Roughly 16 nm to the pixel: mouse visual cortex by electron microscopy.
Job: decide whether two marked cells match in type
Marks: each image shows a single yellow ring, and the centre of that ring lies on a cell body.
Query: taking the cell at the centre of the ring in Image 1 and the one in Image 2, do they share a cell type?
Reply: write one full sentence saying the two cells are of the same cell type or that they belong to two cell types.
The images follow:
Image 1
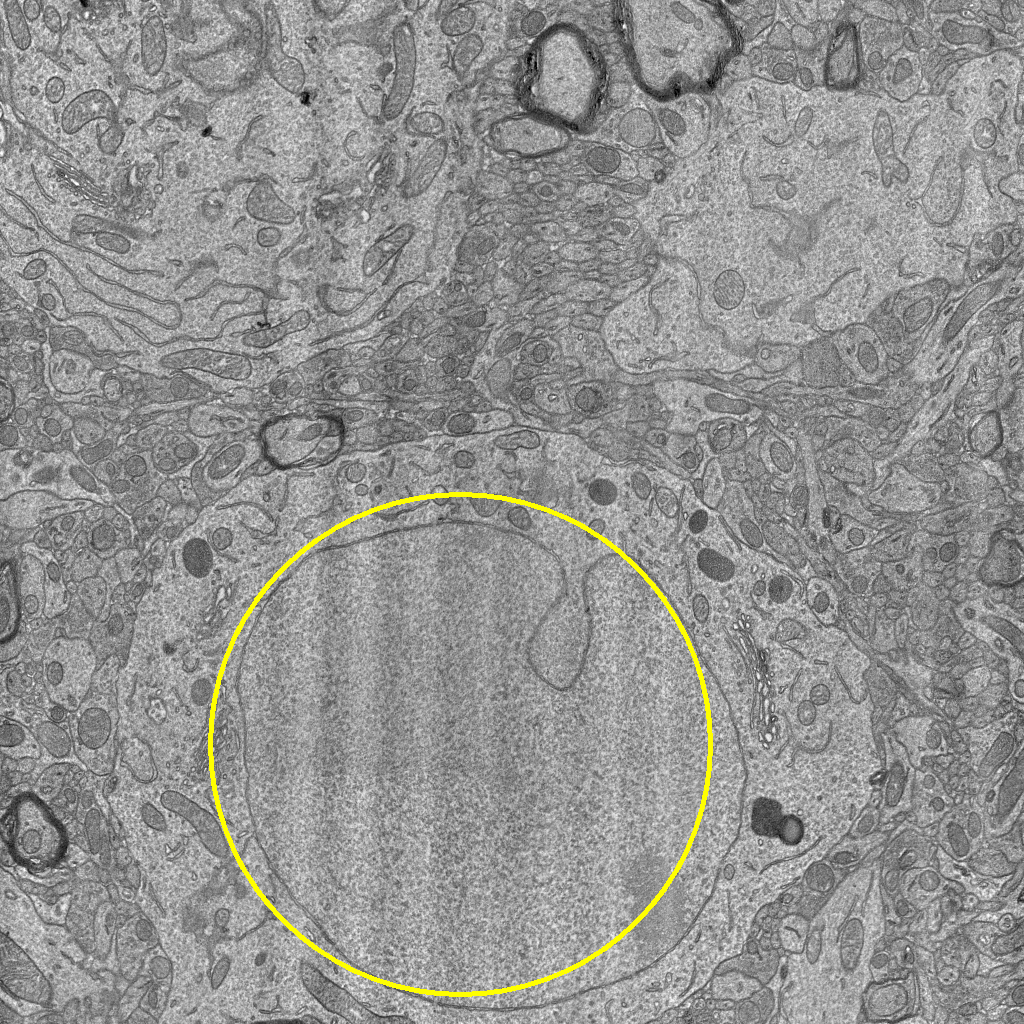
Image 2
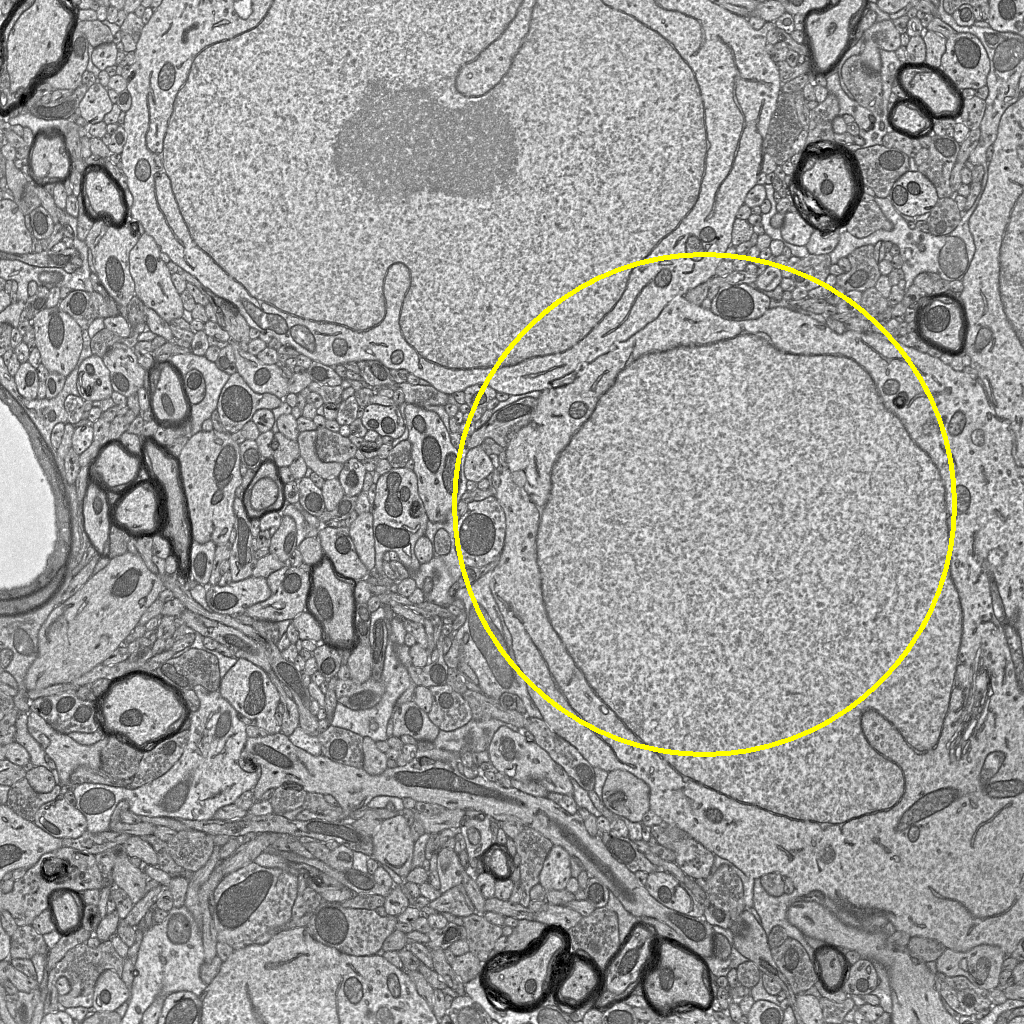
The cells at the ring centres in Image 1 and Image 2 are of the same cell type.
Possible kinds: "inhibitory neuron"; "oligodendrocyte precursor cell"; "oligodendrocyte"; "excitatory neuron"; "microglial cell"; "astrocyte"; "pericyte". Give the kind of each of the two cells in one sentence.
The cell at the ring centre is an excitatory neuron in both pictures.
